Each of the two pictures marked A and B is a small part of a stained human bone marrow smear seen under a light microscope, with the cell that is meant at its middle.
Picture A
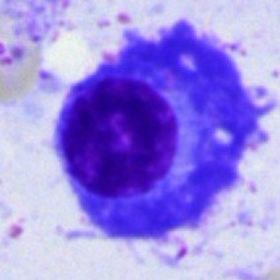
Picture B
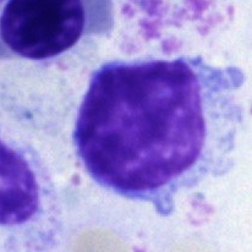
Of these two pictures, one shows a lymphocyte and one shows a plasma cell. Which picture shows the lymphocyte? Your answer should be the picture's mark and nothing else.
B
